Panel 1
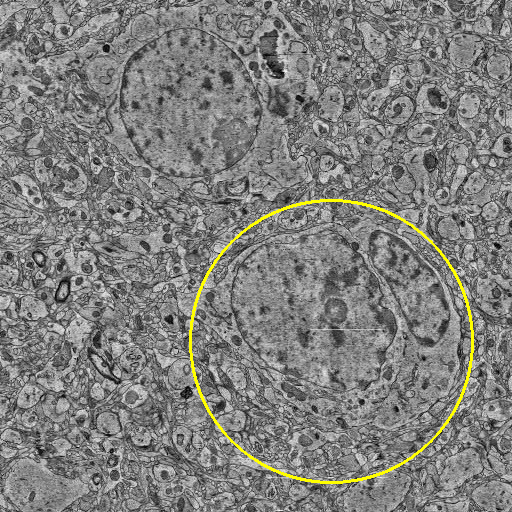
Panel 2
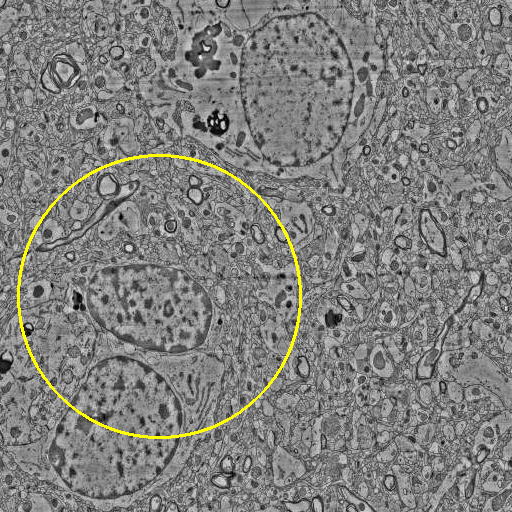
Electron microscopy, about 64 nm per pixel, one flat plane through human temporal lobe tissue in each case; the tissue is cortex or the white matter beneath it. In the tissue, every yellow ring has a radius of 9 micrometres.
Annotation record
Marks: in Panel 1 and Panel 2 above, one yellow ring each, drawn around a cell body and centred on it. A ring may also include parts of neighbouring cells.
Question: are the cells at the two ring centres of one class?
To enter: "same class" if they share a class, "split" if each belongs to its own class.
split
